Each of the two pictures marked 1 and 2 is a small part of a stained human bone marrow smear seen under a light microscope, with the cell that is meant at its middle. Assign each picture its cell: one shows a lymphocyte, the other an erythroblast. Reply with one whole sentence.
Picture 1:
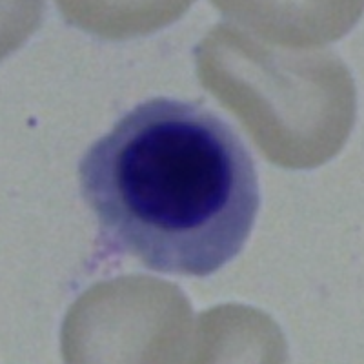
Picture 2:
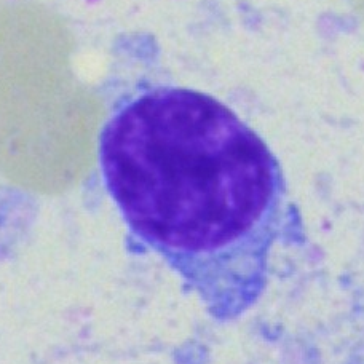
Picture 1 shows an erythroblast and picture 2 shows a lymphocyte.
